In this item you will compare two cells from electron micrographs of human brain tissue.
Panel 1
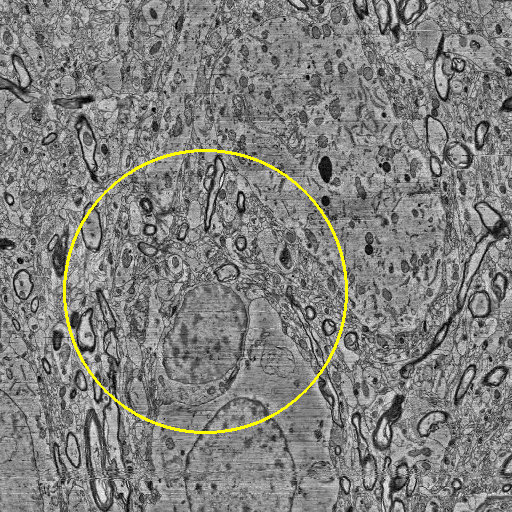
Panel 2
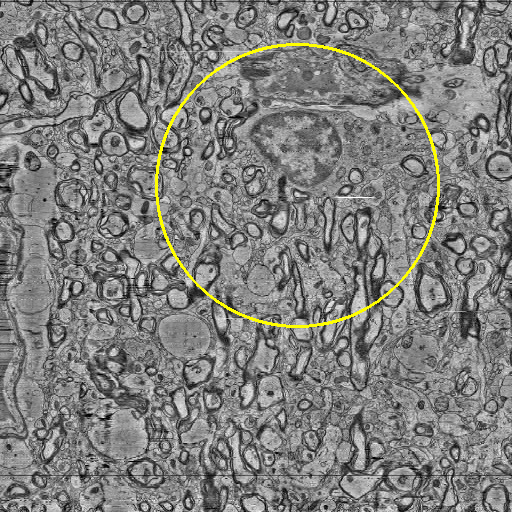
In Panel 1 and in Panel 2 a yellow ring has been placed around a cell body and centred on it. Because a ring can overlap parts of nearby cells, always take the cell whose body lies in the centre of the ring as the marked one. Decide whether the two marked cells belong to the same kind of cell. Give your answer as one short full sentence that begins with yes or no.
Yes, the two marked cells belong to the same kind of cell.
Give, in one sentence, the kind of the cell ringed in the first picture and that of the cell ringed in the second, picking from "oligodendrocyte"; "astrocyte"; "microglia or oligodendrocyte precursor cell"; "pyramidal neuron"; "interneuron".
The cell at the ring centre is an oligodendrocyte in both pictures.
